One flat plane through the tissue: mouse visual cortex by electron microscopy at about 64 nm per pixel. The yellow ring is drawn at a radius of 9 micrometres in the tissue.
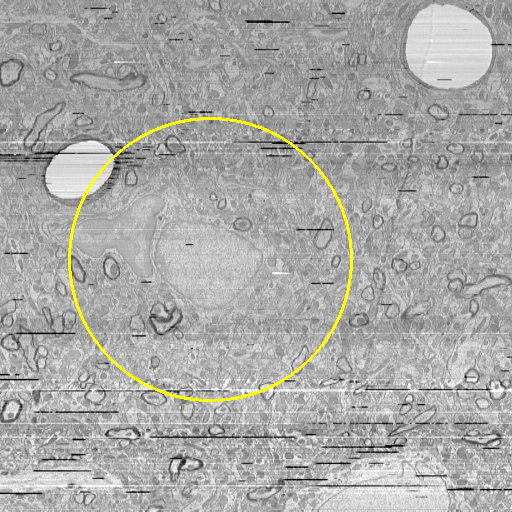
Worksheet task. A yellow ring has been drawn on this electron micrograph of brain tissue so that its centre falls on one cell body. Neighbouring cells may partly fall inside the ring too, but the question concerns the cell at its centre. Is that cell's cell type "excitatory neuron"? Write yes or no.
no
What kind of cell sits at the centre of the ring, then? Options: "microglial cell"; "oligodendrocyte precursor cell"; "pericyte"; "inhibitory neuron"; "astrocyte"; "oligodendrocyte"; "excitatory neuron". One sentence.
As it turns out, the cell at the ring centre is an astrocyte.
